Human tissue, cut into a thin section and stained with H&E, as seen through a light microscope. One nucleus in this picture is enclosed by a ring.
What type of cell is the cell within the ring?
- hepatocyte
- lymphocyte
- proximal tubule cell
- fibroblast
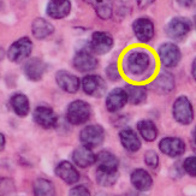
lymphocyte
